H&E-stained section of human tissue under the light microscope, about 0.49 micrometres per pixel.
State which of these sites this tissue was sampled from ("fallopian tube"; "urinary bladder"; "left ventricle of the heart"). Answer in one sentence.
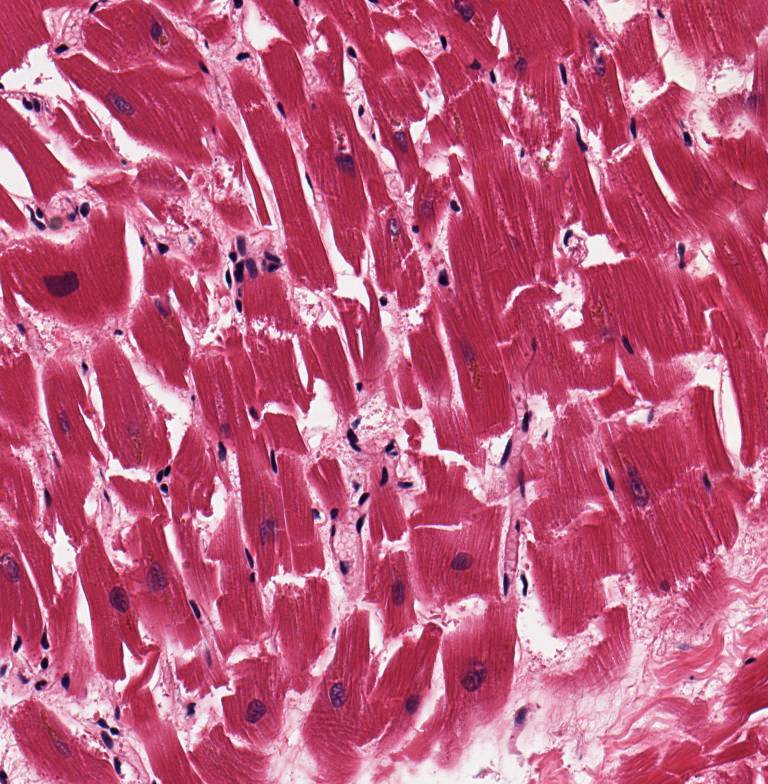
The site this tissue was sampled from is the left ventricle of the heart.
